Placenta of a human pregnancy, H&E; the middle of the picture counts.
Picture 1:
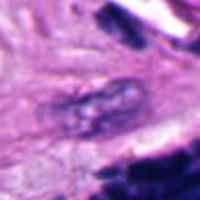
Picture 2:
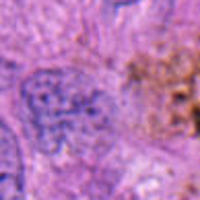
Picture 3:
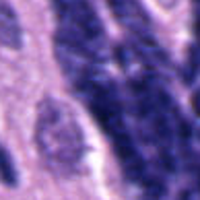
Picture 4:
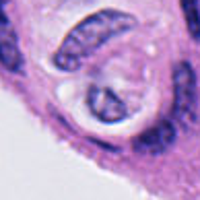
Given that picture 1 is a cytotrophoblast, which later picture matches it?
4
